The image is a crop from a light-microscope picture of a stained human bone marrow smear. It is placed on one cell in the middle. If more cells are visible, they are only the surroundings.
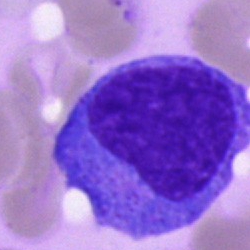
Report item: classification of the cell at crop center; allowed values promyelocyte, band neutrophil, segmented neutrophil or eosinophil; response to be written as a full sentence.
On this slide crop, the central cell is a promyelocyte.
